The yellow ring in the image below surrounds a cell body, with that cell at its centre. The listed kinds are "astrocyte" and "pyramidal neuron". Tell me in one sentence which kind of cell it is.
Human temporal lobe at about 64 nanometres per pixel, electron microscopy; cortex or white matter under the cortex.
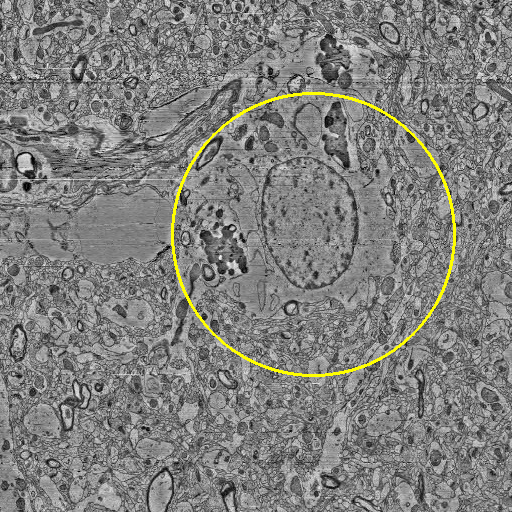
The centre of the ring holds an astrocyte.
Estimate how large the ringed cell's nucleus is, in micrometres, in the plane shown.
In this plane, approximately 9 by 6 micrometers.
